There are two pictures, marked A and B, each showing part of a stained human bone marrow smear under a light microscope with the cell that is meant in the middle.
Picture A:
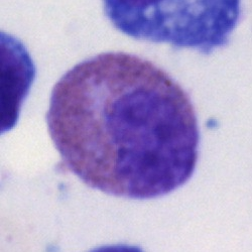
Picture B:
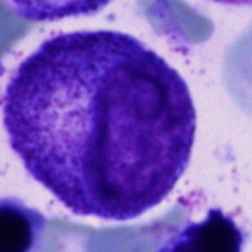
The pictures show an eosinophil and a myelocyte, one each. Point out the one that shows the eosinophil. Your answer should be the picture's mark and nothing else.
A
